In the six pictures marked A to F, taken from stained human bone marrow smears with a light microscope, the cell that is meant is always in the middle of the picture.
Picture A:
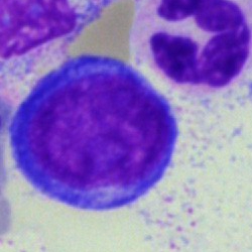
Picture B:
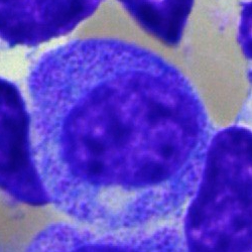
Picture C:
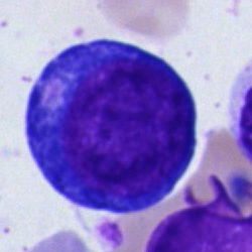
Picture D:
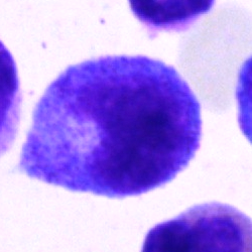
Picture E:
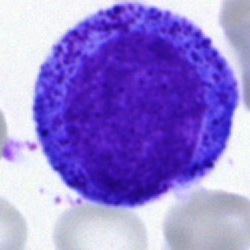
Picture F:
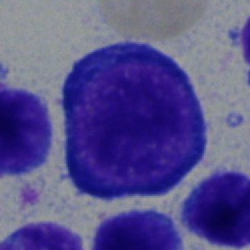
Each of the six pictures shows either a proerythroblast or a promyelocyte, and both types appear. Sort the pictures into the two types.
A: proerythroblast
B: promyelocyte
C: proerythroblast
D: promyelocyte
E: promyelocyte
F: proerythroblast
